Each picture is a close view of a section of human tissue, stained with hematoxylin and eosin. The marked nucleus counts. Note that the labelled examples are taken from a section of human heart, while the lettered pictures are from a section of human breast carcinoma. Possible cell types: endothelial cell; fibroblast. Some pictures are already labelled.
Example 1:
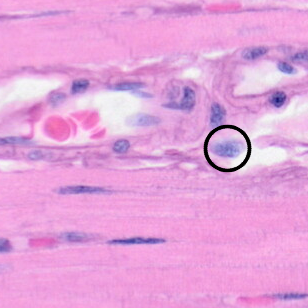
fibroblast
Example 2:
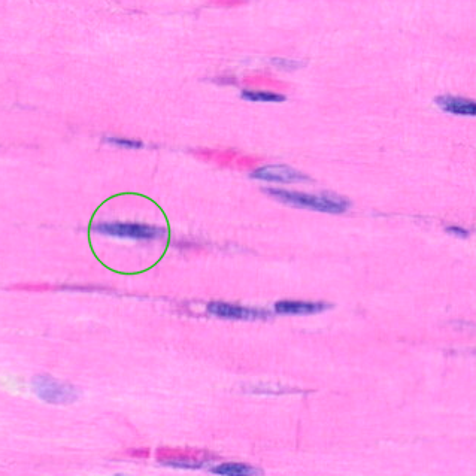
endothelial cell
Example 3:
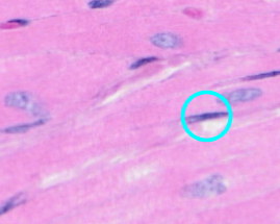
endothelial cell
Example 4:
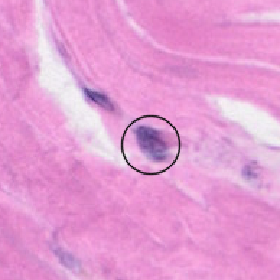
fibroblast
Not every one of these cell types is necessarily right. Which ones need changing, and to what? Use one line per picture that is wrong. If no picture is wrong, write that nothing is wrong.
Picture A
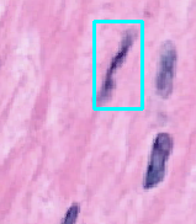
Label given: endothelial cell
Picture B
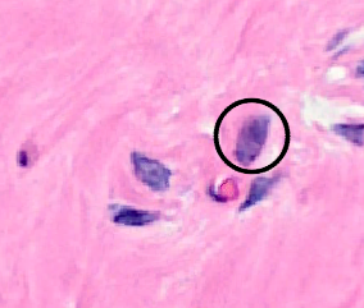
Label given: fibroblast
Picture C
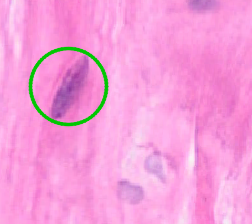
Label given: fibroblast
A should be fibroblast, not endothelial cell
B should be endothelial cell, not fibroblast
